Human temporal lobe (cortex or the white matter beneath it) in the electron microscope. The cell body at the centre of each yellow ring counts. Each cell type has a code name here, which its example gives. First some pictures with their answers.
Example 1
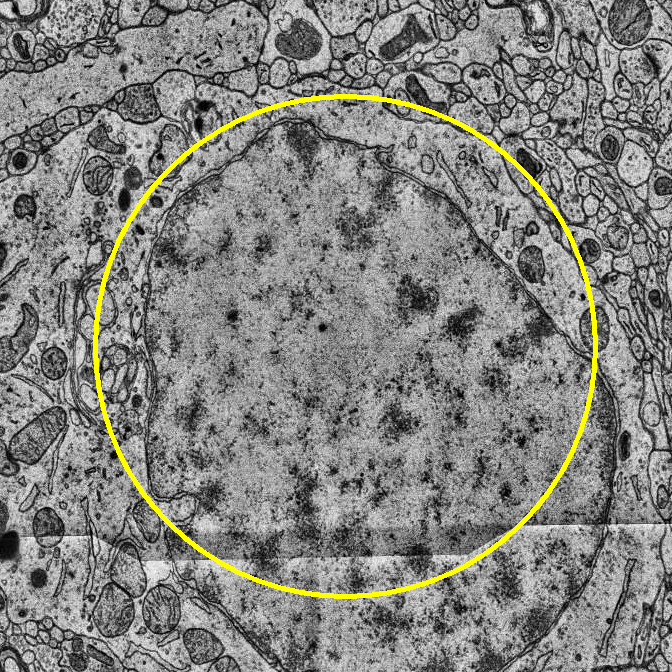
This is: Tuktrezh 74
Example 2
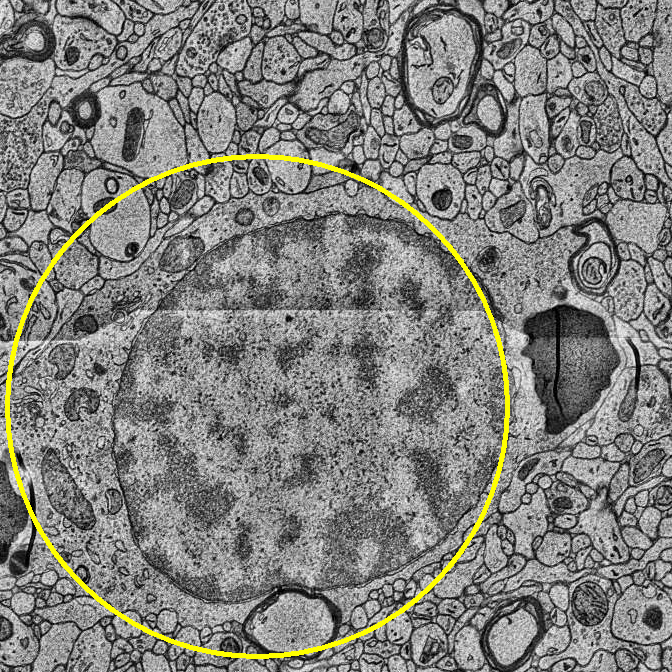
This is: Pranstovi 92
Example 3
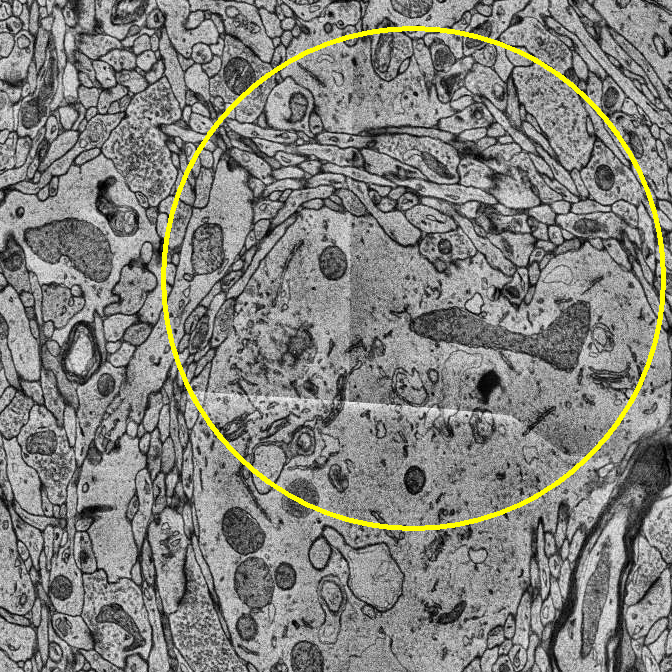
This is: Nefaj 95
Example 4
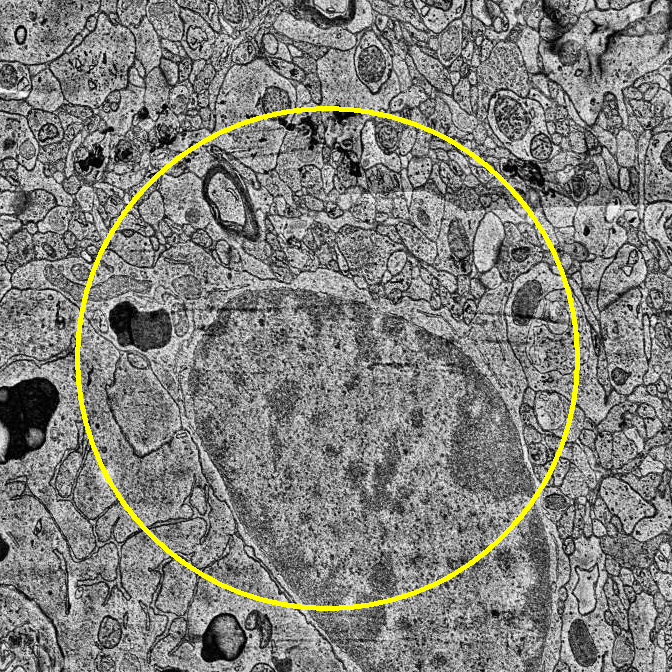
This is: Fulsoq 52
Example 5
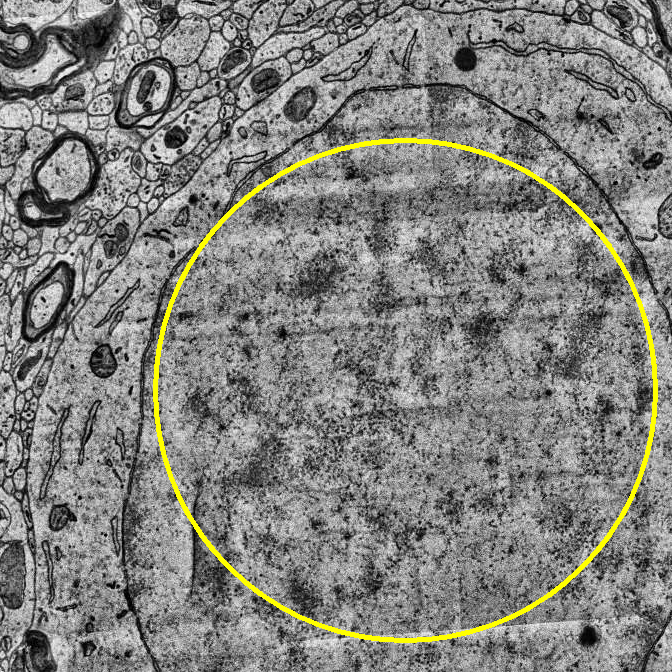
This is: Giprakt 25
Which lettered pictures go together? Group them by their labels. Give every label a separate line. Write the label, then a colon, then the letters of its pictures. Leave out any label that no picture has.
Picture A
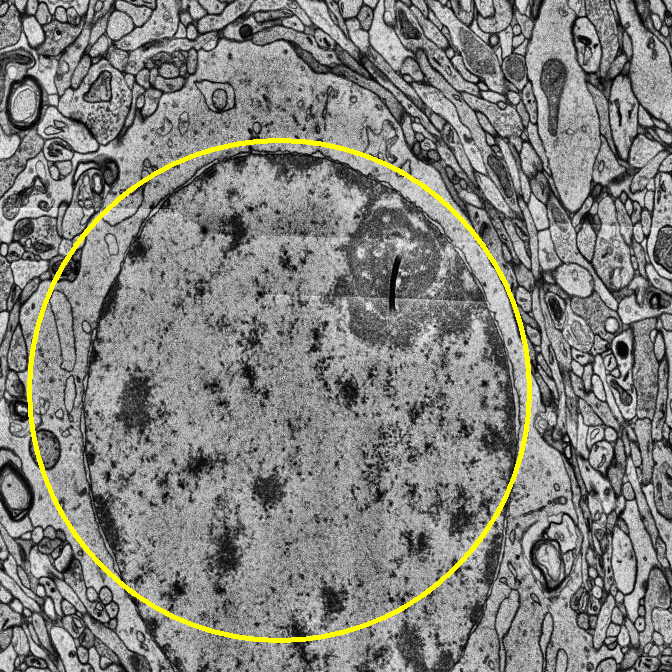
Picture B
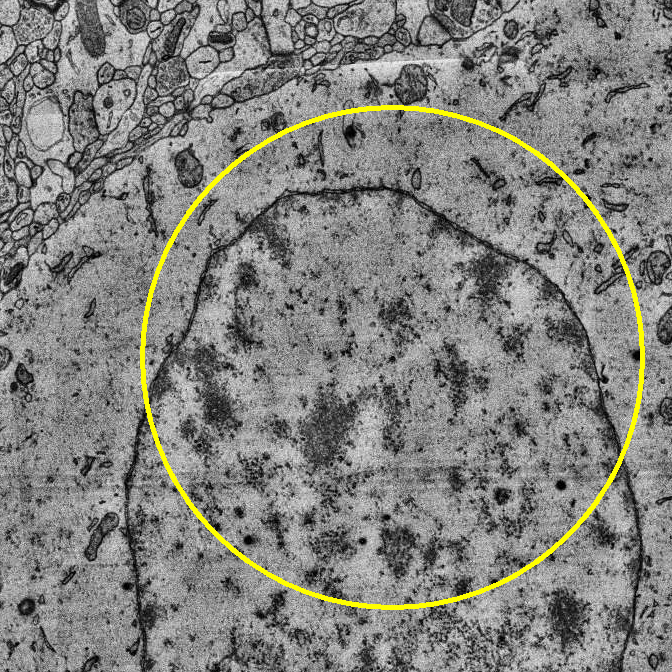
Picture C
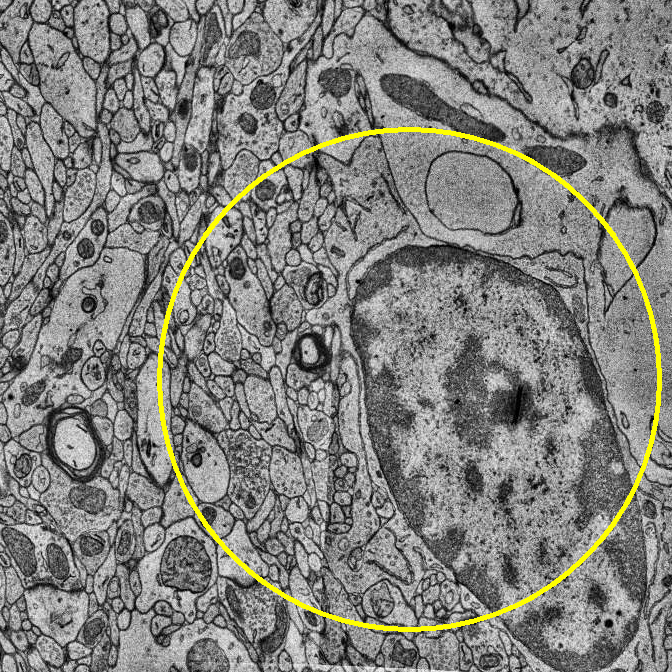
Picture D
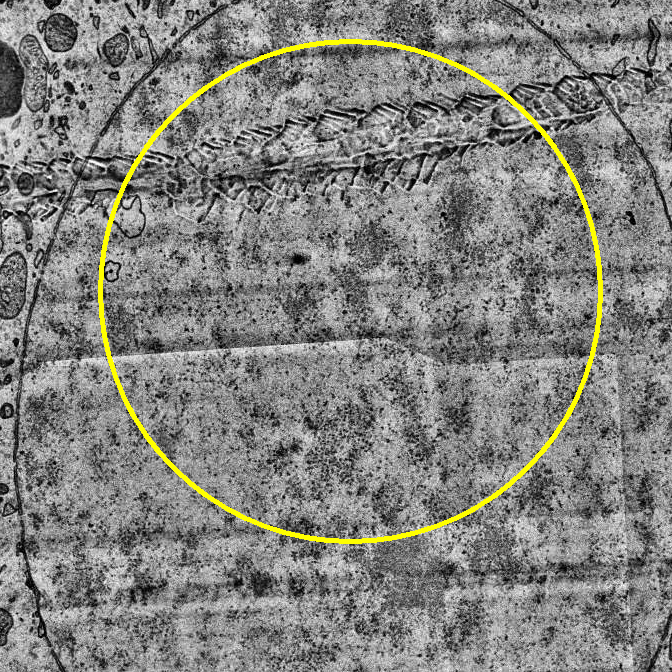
Nefaj 95: A
Fulsoq 52: C
Giprakt 25: B, D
